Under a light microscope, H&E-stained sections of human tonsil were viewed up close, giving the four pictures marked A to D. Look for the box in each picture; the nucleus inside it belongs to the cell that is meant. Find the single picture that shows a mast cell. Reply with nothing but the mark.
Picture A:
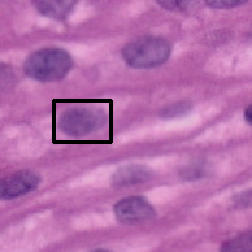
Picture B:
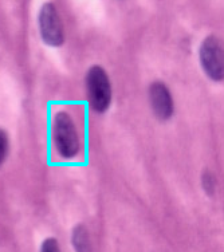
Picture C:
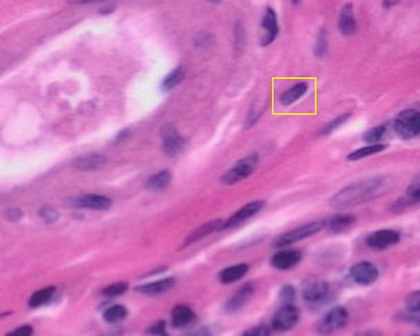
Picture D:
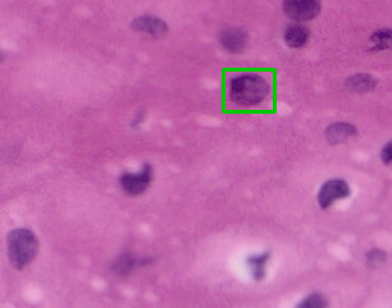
C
